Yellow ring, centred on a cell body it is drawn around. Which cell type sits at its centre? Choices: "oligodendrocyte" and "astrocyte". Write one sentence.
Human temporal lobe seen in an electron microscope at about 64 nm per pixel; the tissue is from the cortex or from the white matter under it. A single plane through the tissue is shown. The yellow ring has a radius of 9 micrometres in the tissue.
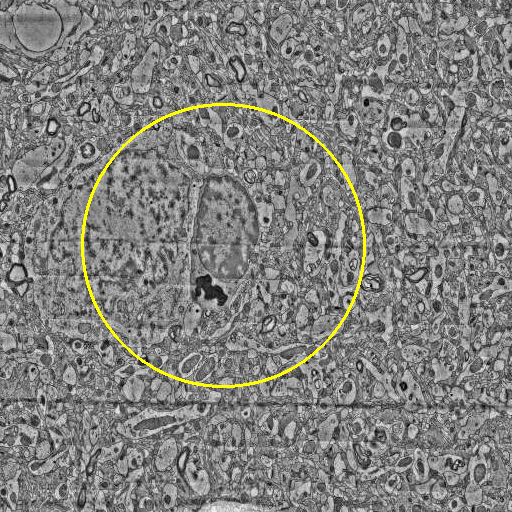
At the centre of the ring sits an oligodendrocyte.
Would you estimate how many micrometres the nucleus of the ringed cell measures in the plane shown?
In this plane, the nucleus of the cell at the centre of the ring measures about 7 by 4 micrometres.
